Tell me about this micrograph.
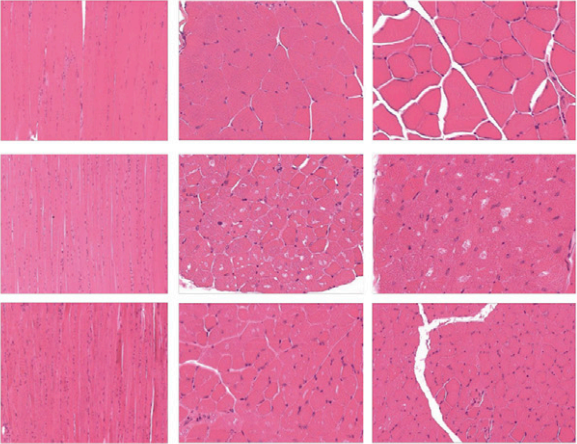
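A grid of pink-stained skeletal muscle: the left column shows fibers cut lengthwise as long parallel bands, and the right columns show fibers cut across as polygonal profiles with small dark purple nuclei at their edges. In the middle row, many of the cross-cut fibers hold small pale, empty-looking spaces within their pink cytoplasm, whereas the fibers in the top and bottom rows are mostly evenly pink. Those clear spaces within the fibers are vacuoles, a sign of fiber vacuolization.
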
